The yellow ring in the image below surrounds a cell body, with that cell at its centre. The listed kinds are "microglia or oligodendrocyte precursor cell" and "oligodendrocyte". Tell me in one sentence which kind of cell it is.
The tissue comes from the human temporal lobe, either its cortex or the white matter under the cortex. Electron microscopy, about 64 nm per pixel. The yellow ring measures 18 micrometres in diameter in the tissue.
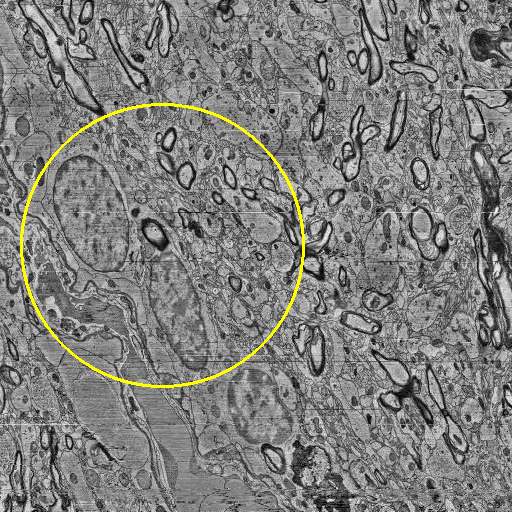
The centre of the ring holds an oligodendrocyte.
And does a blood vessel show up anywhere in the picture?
Yes, the image shows a blood vessel.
